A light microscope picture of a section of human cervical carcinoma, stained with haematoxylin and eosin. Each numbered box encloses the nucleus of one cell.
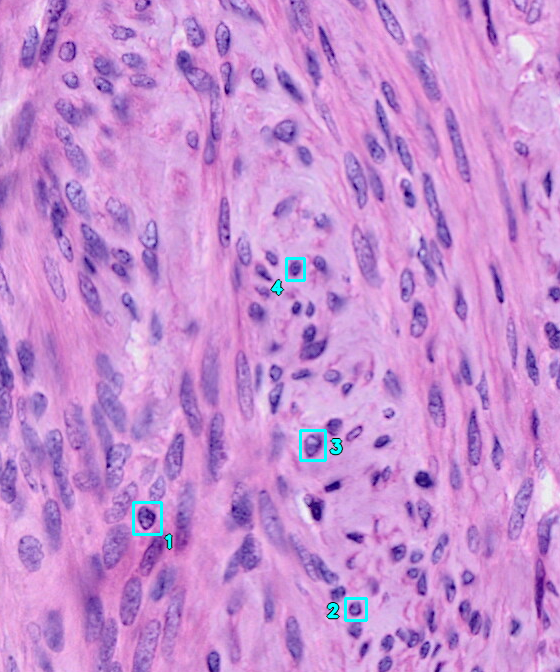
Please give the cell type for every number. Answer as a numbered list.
1. lymphocyte
2. smooth muscle cell
3. smooth muscle cell
4. smooth muscle cell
